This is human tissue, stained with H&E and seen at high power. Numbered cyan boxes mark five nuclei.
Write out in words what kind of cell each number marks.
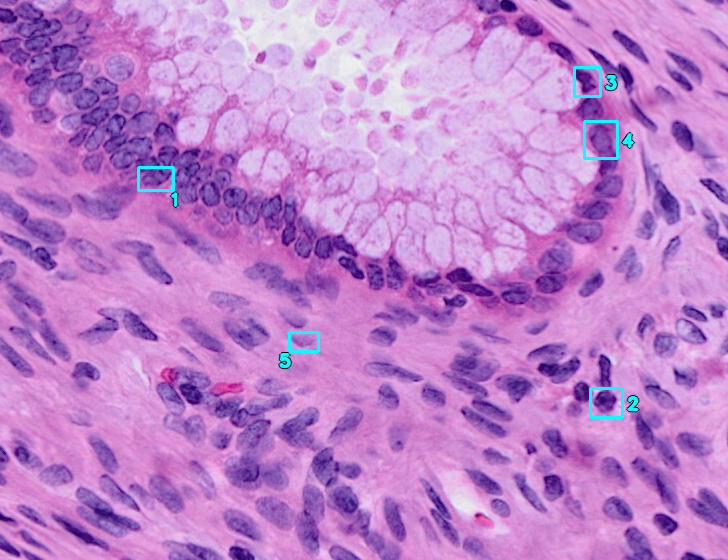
Cells 1, 3 and 4 are secretory epithelial cells. Cell 2 is a lymphocyte. Cell 5 is a fibroblast.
